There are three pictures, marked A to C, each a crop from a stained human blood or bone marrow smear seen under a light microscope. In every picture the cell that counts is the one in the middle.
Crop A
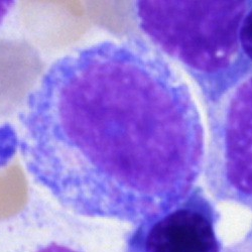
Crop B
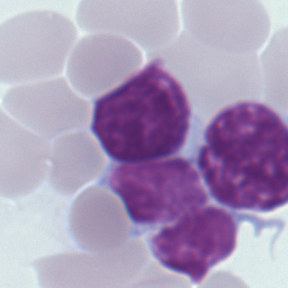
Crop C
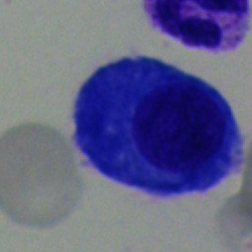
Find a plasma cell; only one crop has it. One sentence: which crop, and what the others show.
On the one hand crop C shows a plasma cell; on the other, crop A is a promyelocyte and crop B is a blast.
